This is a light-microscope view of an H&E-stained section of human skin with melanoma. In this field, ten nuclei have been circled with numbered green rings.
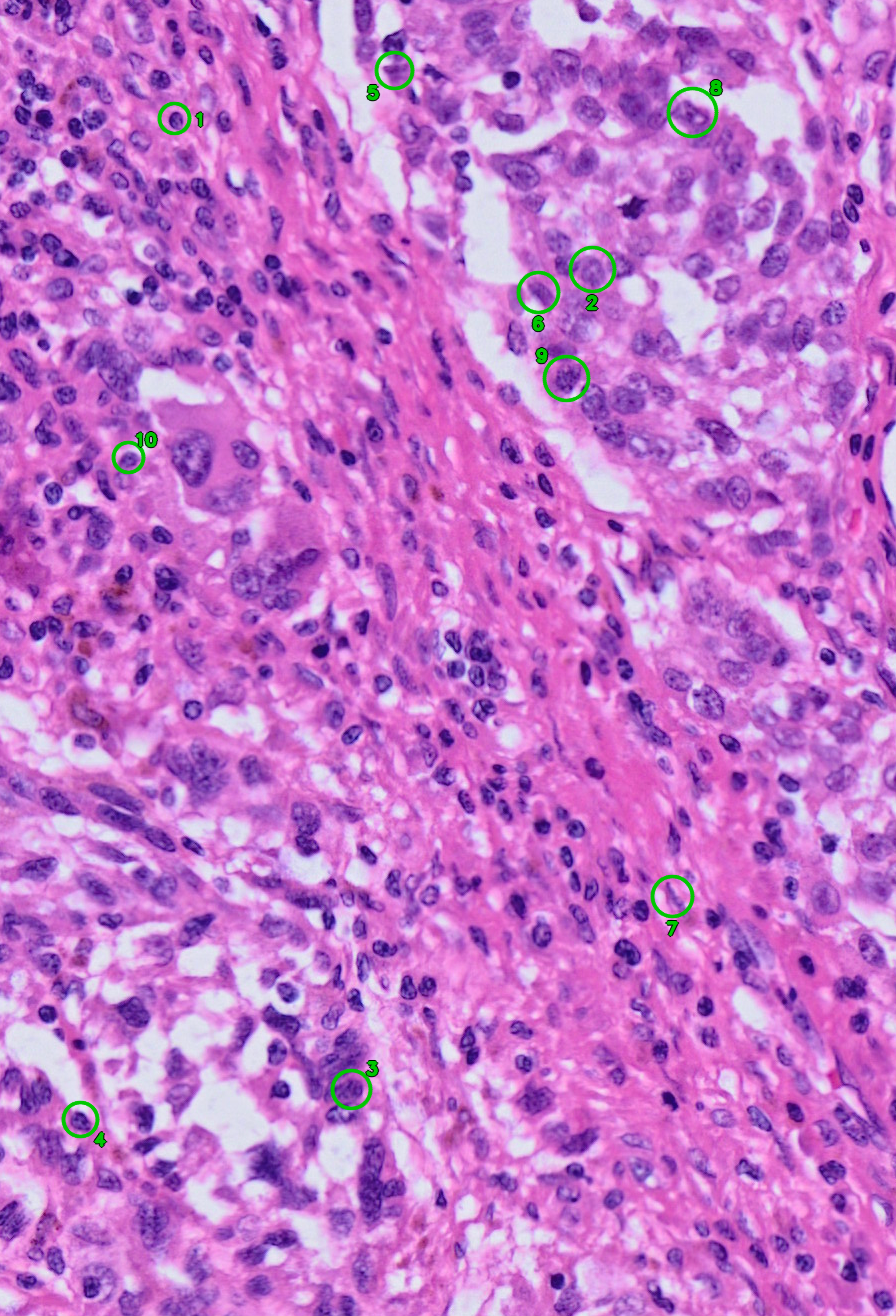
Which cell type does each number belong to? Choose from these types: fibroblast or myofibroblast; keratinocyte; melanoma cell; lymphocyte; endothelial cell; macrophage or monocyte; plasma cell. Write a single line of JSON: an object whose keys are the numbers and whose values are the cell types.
{"1": "lymphocyte", "2": "melanoma cell", "3": "melanoma cell", "4": "lymphocyte", "5": "melanoma cell", "6": "melanoma cell", "7": "fibroblast or myofibroblast", "8": "melanoma cell", "9": "melanoma cell", "10": "lymphocyte"}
